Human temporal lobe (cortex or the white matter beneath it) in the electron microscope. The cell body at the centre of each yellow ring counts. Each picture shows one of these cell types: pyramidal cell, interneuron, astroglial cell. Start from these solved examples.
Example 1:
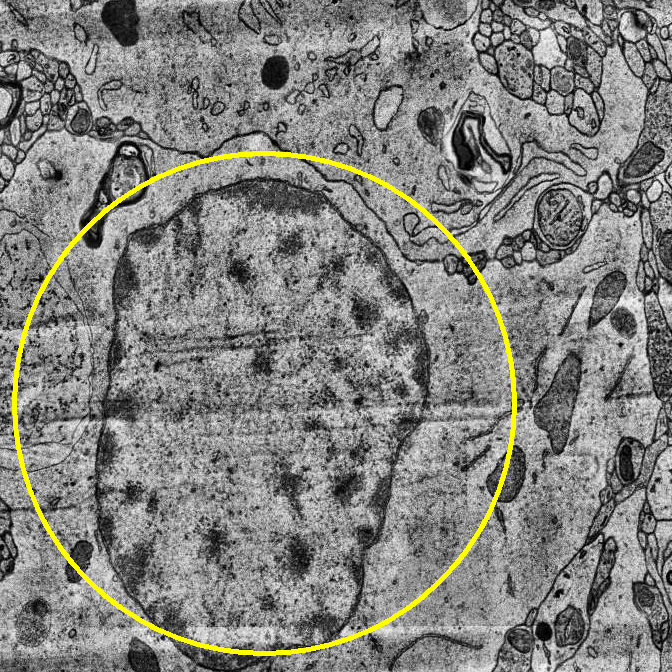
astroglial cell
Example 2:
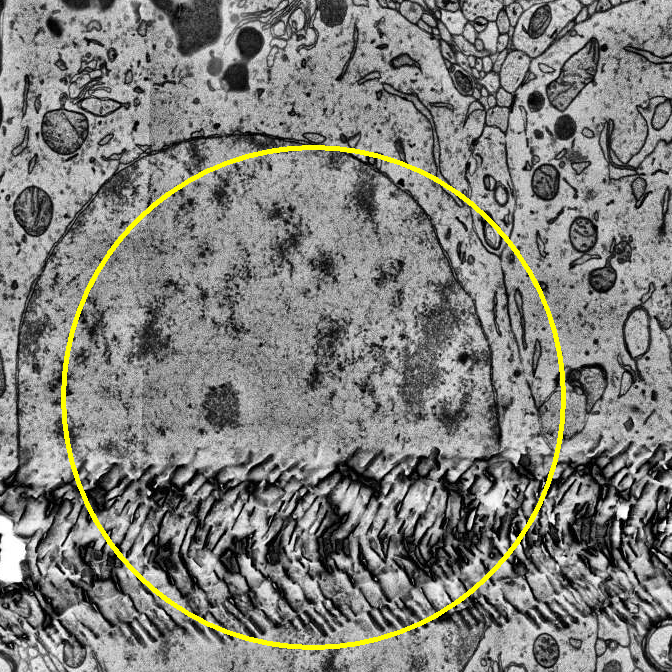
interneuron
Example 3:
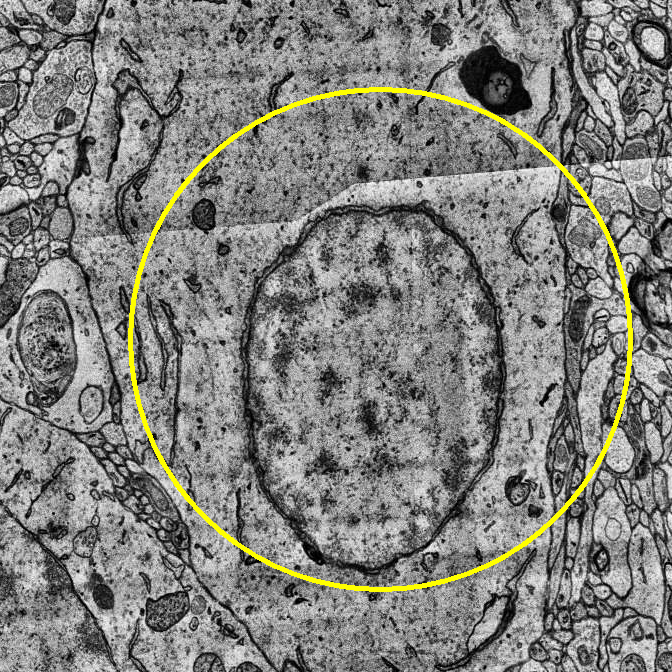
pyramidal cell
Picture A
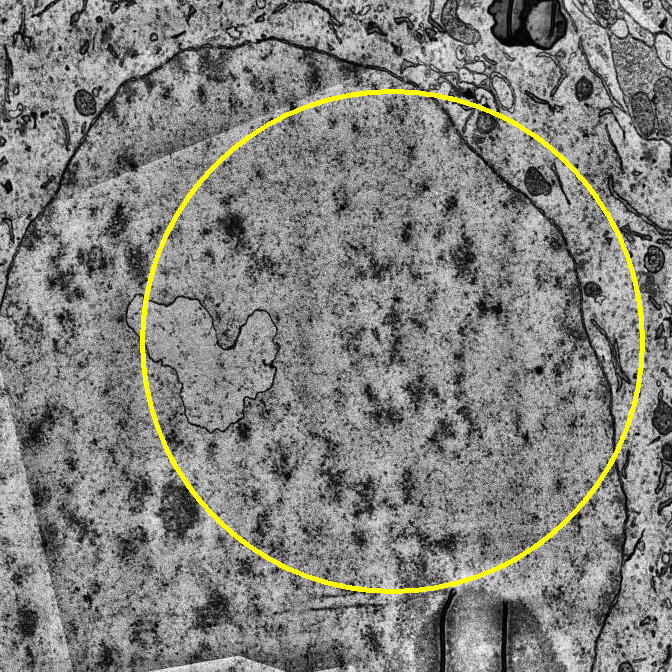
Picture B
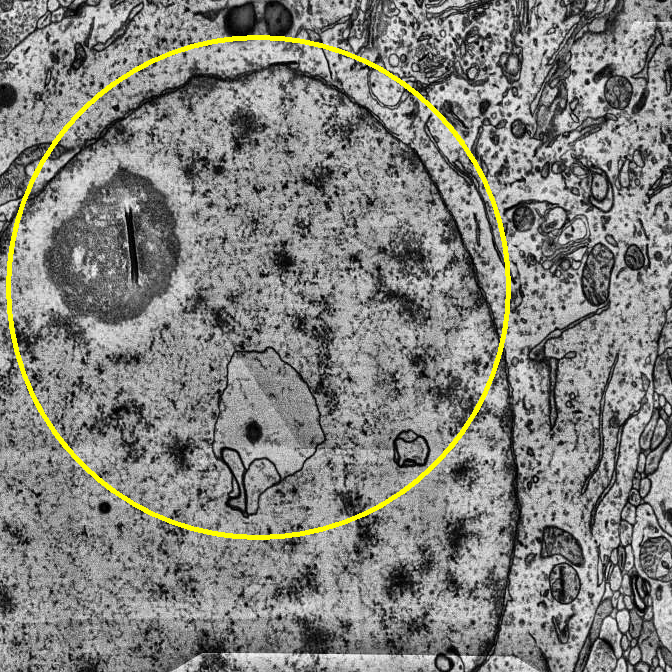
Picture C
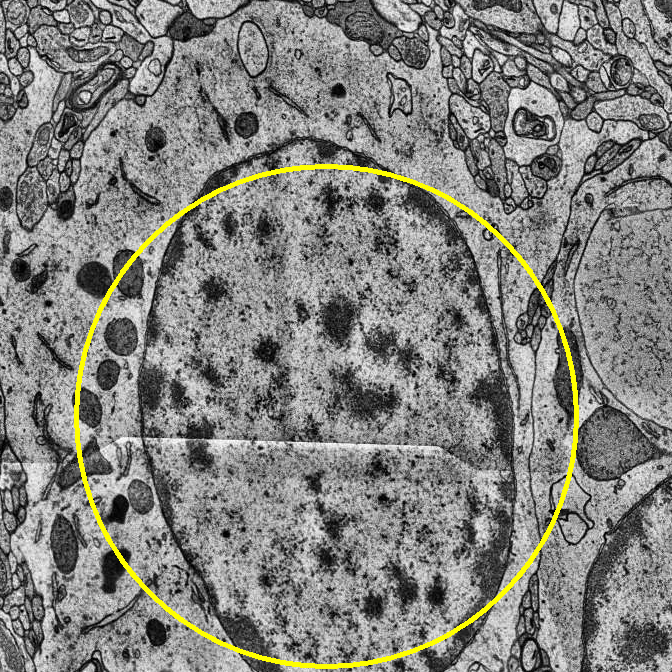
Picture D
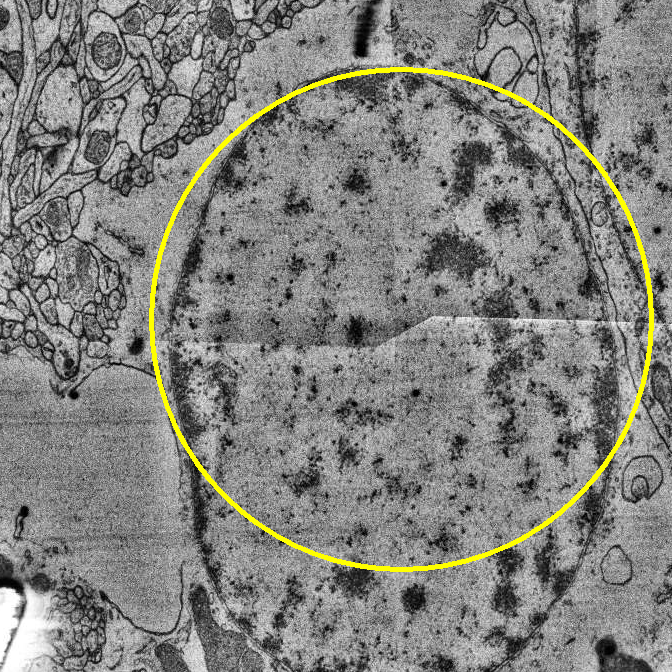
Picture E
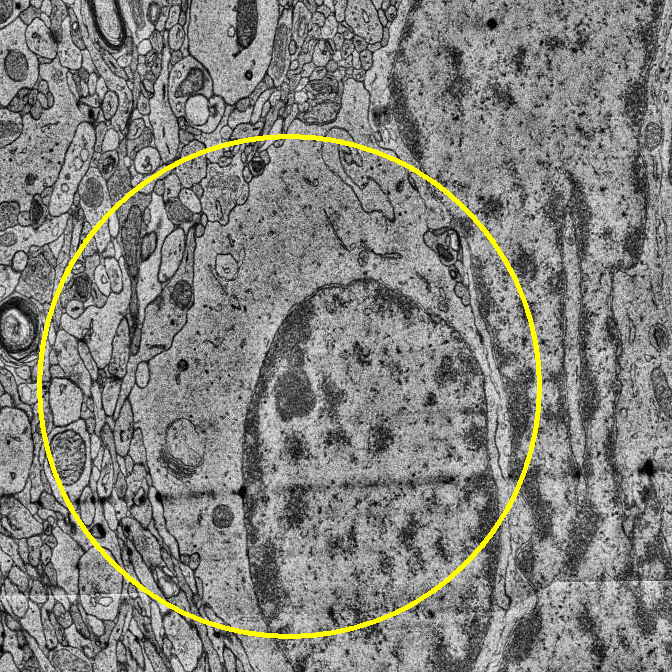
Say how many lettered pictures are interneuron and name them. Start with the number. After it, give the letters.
0, none of them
